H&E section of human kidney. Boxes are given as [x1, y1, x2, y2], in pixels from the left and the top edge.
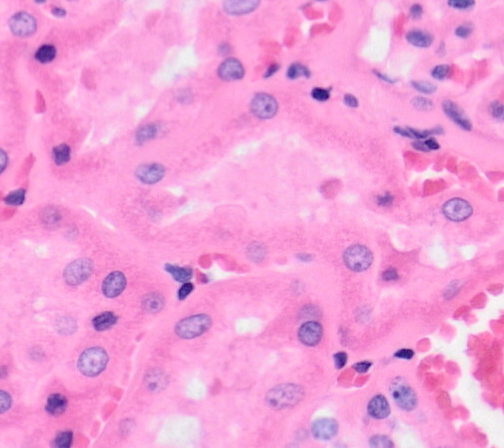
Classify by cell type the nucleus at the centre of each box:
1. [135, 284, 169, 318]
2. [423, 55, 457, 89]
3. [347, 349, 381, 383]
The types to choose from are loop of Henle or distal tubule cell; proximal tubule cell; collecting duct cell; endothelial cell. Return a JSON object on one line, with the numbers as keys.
{"1": "proximal tubule cell", "2": "endothelial cell", "3": "endothelial cell"}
